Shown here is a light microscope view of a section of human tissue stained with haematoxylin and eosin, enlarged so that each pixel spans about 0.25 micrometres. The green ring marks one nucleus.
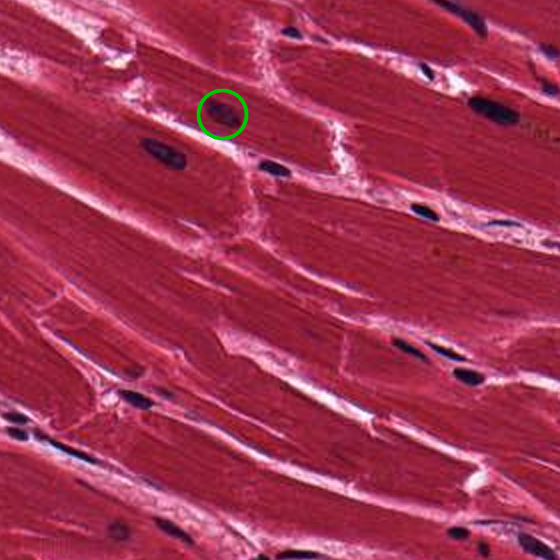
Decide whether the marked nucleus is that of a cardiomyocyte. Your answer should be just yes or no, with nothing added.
yes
